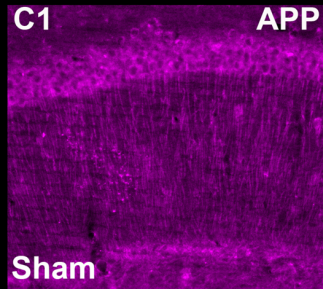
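This fluorescence image of the hippocampus shows the pyramidal layer as a band of densely packed, round cell bodies across the upper part of the field. From this band, fine stained processes run downward in parallel through the stratum radiatum, giving the lower region a striated look.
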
